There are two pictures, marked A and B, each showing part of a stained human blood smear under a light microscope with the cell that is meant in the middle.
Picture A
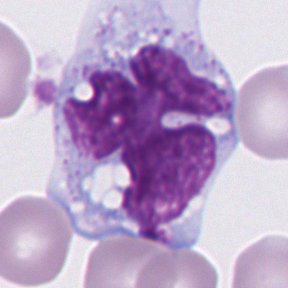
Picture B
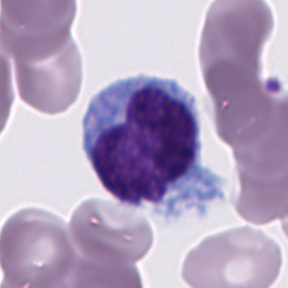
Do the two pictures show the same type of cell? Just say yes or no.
yes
